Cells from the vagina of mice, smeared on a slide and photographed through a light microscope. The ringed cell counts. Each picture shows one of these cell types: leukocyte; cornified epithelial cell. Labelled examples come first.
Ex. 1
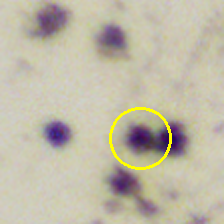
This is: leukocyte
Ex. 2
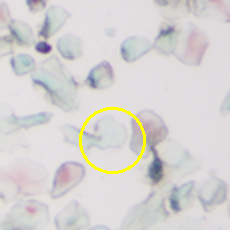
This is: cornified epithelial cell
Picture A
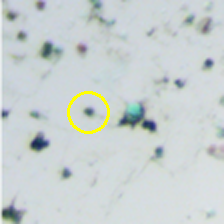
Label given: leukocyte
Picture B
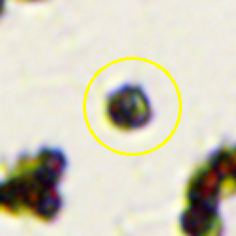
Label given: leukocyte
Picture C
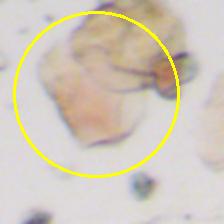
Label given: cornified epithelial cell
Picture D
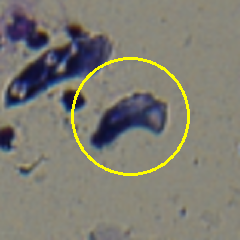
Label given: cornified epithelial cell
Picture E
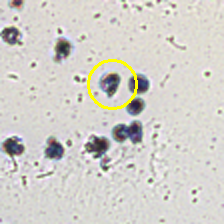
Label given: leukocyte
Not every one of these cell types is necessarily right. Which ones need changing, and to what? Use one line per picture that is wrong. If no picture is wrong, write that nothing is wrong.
Nothing to fix; every label fits.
